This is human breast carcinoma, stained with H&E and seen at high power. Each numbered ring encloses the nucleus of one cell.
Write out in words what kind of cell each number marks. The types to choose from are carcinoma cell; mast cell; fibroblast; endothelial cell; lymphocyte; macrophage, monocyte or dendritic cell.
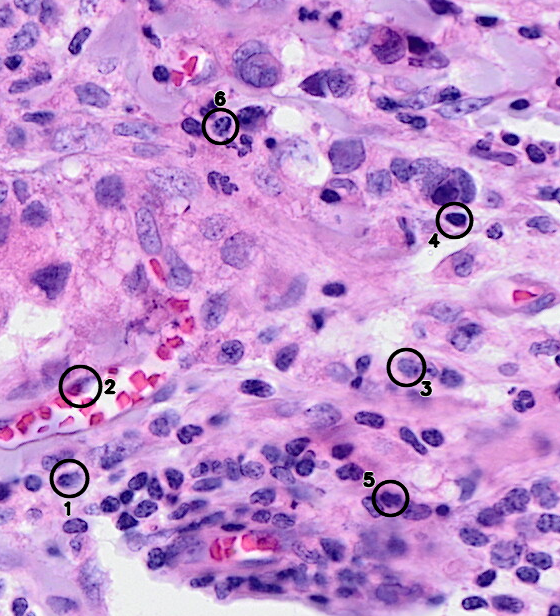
Cell 1 is a lymphocyte, cell 2 is an endothelial cell, cell 3 is a mast cell, cell 4 is a lymphocyte, cell 5 is a lymphocyte and cell 6 is a lymphocyte.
